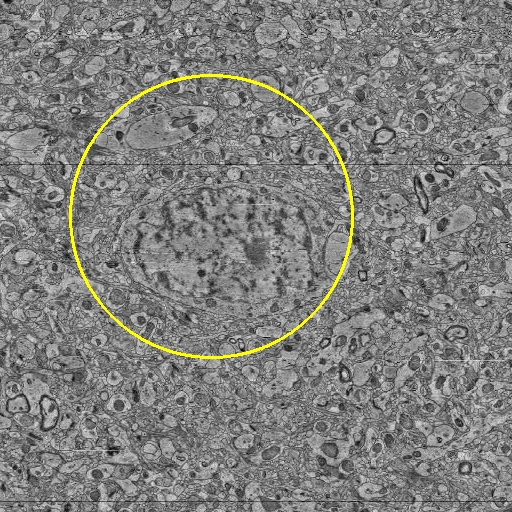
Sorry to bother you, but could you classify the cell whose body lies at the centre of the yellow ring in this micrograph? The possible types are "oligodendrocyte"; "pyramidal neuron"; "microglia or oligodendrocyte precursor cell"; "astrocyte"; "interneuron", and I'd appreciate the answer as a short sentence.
The ringed cell body is that of an interneuron.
